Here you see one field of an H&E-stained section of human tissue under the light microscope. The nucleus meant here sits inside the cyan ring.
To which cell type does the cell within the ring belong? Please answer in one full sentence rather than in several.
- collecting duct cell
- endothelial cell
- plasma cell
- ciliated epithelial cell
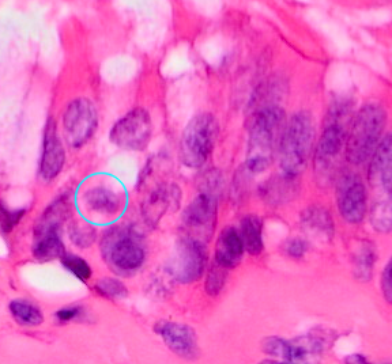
In short, the cell within the ring on this section is a ciliated epithelial cell.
